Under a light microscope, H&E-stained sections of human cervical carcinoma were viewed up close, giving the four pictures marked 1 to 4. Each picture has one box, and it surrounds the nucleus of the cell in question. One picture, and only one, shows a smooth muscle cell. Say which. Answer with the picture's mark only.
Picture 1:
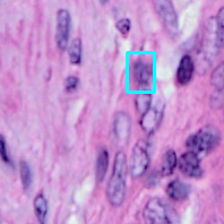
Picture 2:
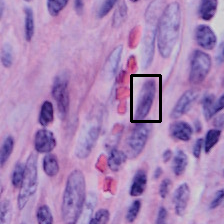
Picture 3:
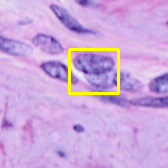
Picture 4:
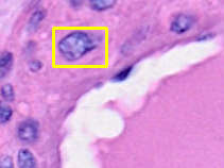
4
